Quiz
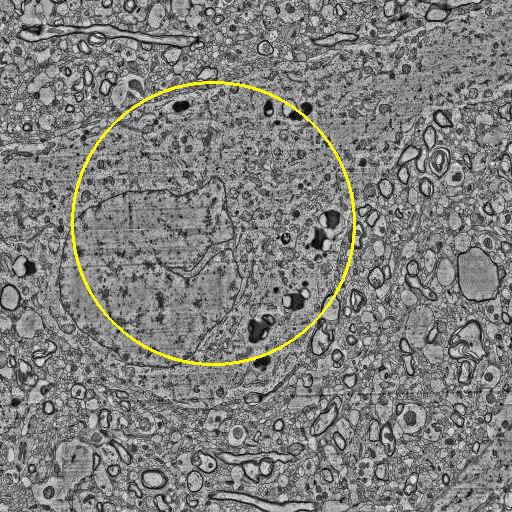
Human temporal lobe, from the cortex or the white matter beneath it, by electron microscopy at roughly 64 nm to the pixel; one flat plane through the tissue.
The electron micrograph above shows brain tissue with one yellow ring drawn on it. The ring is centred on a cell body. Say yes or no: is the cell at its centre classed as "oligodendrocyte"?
no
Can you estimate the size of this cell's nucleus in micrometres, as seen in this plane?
Roughly 12 micrometers across, in this plane.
